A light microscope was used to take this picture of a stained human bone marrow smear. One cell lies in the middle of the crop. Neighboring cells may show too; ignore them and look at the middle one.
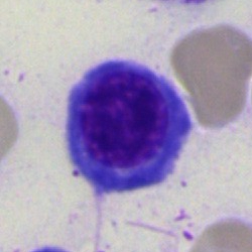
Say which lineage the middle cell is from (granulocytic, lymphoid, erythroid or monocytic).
erythroid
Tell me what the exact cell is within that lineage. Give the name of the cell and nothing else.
erythroblast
